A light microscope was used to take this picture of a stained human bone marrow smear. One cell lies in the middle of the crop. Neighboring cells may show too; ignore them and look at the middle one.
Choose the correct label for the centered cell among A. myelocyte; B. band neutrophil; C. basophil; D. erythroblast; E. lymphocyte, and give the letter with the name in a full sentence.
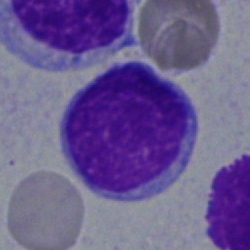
The cell in the middle is a lymphocyte, so option E is correct.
